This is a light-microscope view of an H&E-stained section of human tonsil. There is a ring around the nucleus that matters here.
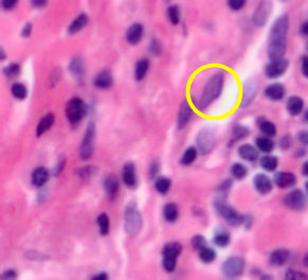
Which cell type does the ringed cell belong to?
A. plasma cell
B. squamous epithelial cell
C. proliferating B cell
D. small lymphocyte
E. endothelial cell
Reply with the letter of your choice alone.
E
